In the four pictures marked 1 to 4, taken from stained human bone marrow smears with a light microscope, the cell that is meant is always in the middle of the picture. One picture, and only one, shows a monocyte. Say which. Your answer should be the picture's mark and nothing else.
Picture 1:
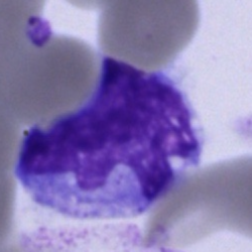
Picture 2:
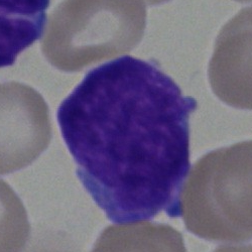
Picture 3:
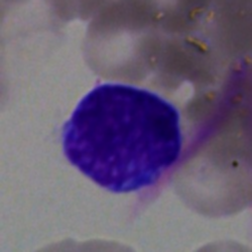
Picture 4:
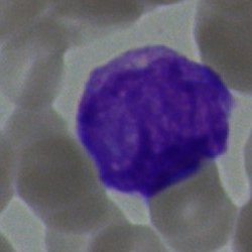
1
